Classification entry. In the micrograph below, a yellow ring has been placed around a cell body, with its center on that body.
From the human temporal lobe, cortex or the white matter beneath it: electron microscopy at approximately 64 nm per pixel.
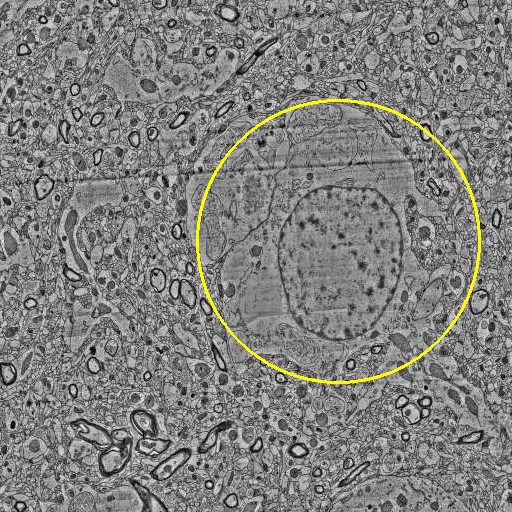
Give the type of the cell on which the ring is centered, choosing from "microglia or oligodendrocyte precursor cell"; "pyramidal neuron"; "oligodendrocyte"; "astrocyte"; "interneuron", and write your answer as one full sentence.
The cell body at the center of the yellow ring belongs to an astrocyte.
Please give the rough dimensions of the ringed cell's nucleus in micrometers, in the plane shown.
In this plane, approximately 10 by 8 micrometers.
